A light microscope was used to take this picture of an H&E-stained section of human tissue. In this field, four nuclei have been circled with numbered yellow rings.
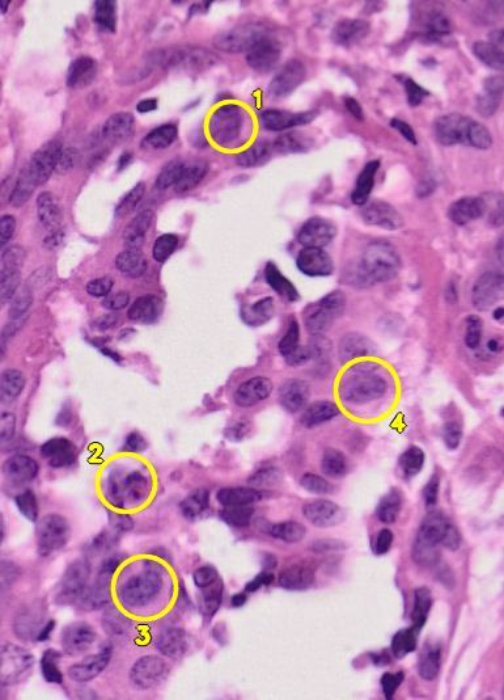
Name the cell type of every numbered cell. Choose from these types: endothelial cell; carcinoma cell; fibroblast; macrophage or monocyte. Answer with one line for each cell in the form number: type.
1: carcinoma cell
2: macrophage or monocyte
3: carcinoma cell
4: carcinoma cell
